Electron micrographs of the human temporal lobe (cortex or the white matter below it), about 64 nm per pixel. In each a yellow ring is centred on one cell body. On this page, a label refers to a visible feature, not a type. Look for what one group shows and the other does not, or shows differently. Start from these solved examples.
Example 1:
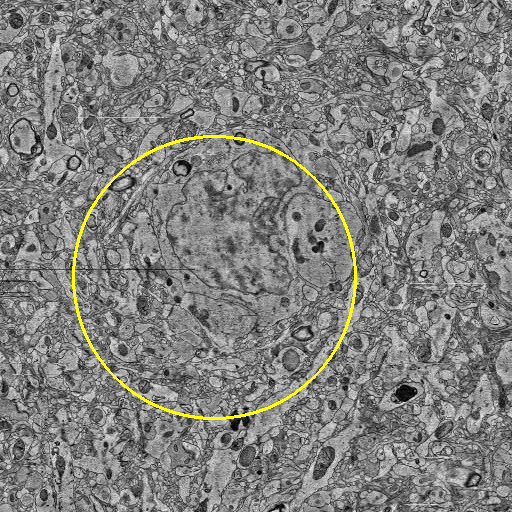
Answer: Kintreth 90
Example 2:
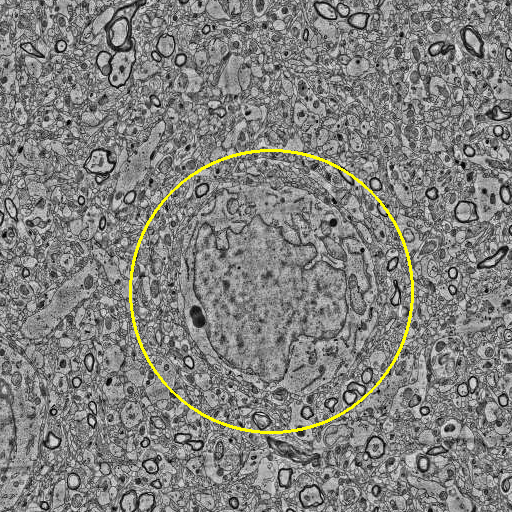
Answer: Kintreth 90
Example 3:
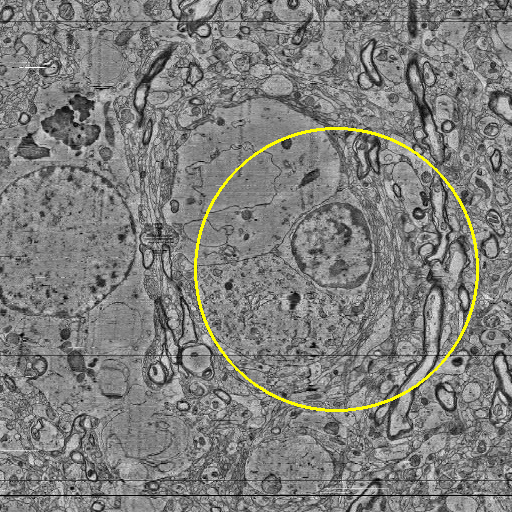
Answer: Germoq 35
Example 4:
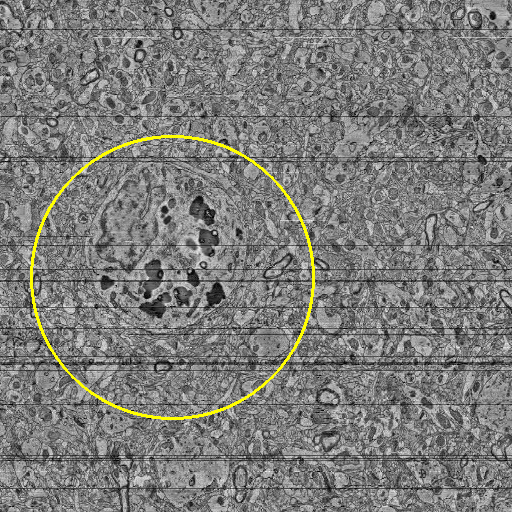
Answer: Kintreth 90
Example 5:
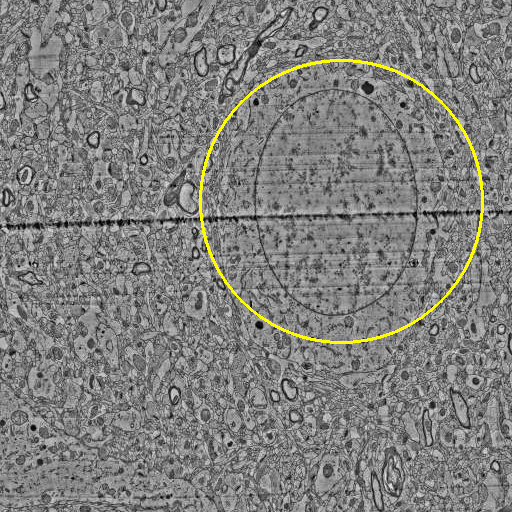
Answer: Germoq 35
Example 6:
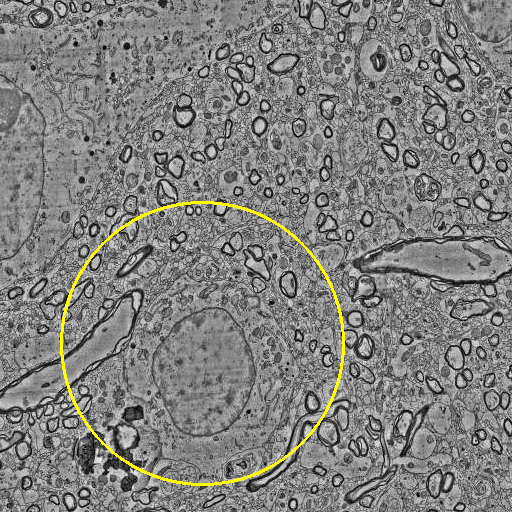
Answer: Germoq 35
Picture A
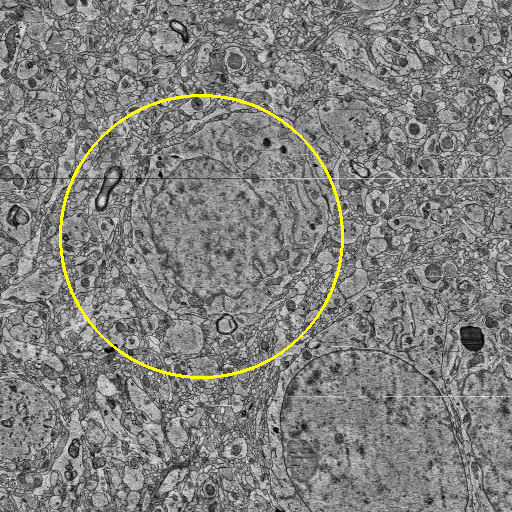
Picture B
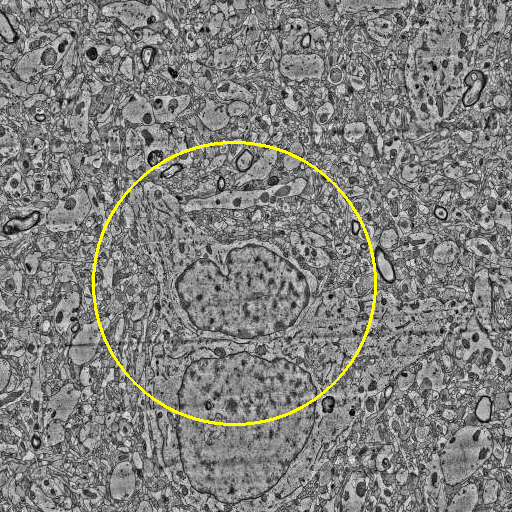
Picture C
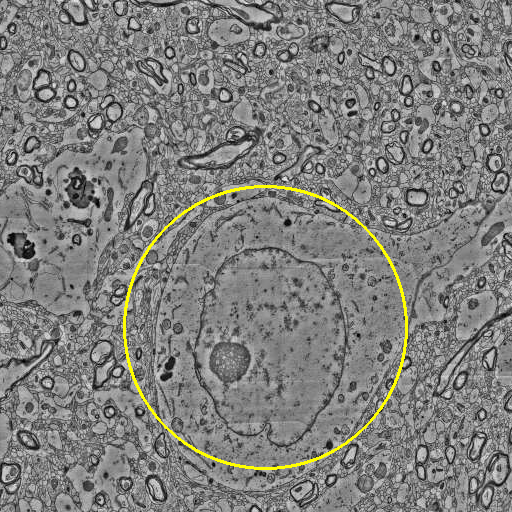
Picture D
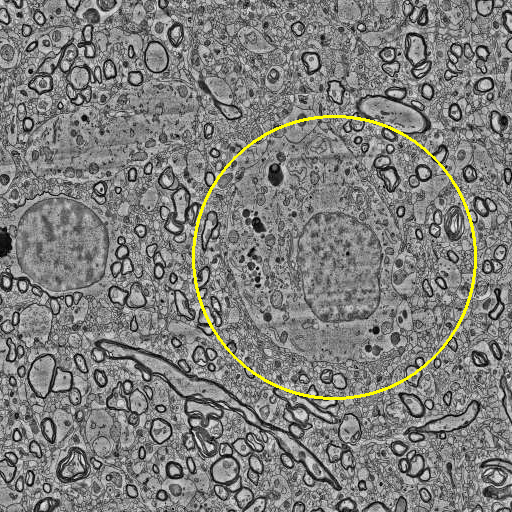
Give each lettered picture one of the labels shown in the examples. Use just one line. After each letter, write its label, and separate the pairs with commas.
A Kintreth 90, B Kintreth 90, C Kintreth 90, D Germoq 35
